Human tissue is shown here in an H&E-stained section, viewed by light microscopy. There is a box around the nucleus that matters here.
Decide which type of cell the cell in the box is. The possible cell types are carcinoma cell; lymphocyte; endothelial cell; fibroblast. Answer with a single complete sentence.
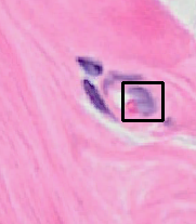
To be brief about it, the cell in the box is an endothelial cell.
